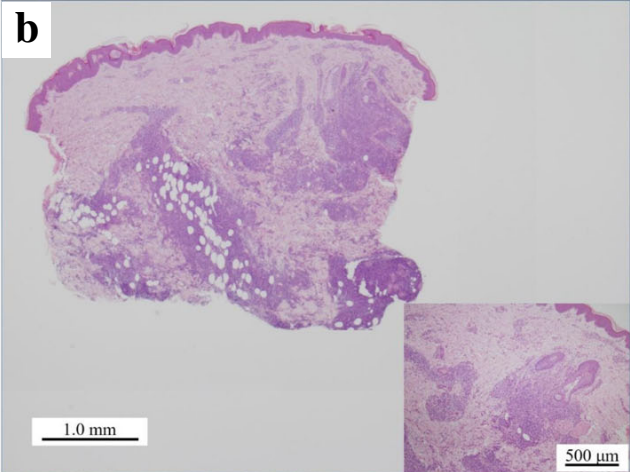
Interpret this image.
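This low-power section of skin shows a thin epidermis over the dermis and subcutis, with dense purple lymphoid cell infiltrates occupying the middle to deep dermis. The infiltrates form nodular and band-like collections around vessels and adnexal appendages. At the base the cells extend among round white fat spaces of the subcutis. The upper dermis below the epidermis appears paler and less involved. The inset shows the perivascular and periadnexal collections more closely beneath the epidermis.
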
